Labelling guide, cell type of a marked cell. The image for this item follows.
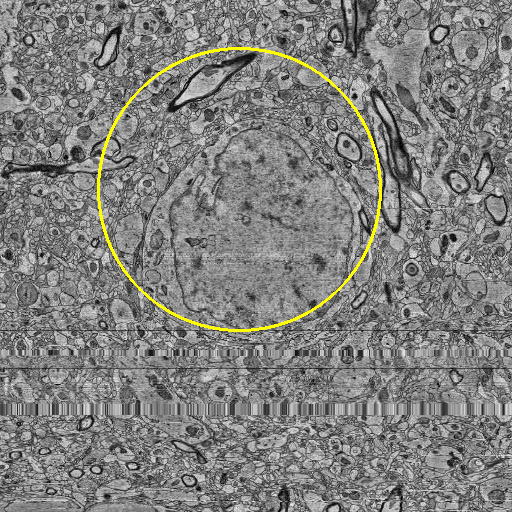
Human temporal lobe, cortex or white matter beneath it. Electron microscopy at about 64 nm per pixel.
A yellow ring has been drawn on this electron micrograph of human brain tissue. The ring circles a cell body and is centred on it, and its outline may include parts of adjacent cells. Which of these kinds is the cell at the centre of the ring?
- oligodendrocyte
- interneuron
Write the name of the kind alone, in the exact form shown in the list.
interneuron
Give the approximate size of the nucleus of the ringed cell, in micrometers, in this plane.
Approximately 14 micrometres long and 12 micrometres wide, in this plane.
